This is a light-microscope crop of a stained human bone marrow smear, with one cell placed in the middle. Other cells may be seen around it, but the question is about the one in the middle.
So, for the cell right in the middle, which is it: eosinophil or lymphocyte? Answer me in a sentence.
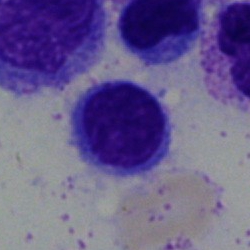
What the crop centres on is a lymphocyte.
